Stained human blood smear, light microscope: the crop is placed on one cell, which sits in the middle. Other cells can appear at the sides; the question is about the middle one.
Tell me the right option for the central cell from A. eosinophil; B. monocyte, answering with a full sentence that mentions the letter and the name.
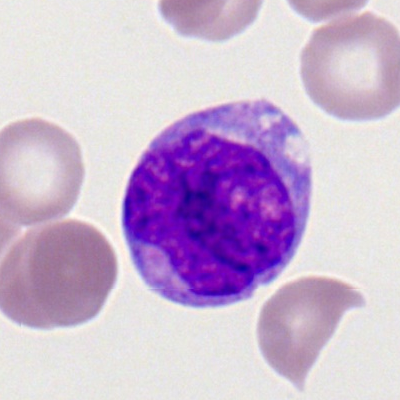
Answer key: option B, the middle cell being a monocyte.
